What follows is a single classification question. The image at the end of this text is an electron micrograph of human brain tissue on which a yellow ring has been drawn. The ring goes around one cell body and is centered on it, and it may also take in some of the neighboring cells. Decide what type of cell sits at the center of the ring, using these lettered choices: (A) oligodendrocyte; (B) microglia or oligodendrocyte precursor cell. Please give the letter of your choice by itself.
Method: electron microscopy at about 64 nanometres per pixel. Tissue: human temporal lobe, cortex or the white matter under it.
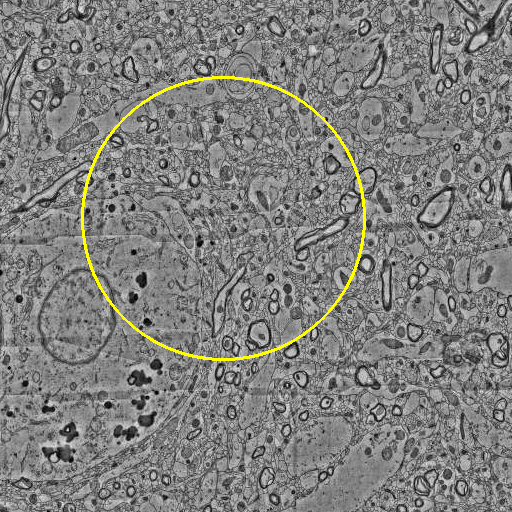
A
